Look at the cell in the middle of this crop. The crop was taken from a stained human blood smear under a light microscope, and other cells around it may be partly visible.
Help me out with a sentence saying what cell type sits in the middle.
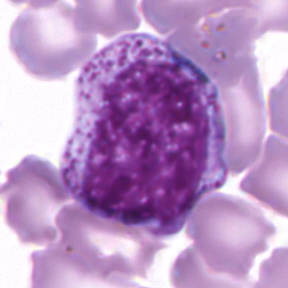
As for the cell in the middle, it is a myelocyte.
